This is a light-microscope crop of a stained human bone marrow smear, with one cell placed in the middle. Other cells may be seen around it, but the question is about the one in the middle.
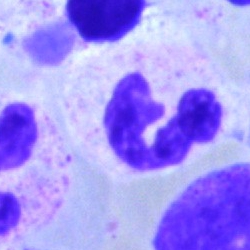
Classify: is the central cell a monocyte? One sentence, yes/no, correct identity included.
No, in the centre of the crop lies a segmented neutrophil, not a monocyte.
